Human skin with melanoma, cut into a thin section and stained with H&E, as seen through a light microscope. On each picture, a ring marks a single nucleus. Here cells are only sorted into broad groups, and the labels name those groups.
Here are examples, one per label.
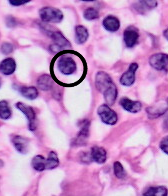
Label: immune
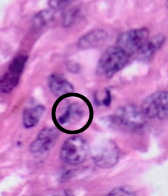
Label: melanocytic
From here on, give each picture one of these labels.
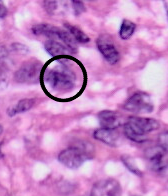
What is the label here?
melanocytic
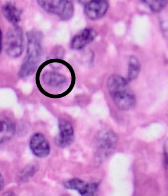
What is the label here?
melanocytic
